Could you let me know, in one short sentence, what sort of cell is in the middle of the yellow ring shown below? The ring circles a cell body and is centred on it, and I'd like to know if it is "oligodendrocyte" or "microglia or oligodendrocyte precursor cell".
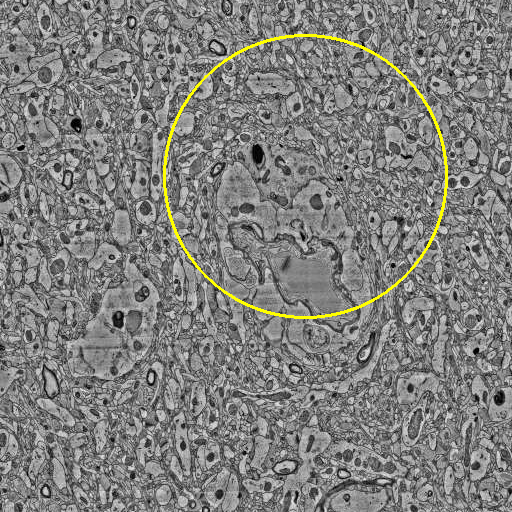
The ring circles the cell body of an oligodendrocyte.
